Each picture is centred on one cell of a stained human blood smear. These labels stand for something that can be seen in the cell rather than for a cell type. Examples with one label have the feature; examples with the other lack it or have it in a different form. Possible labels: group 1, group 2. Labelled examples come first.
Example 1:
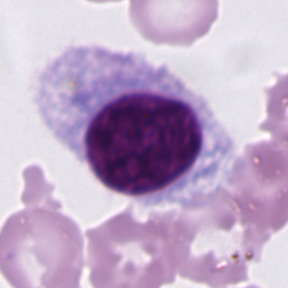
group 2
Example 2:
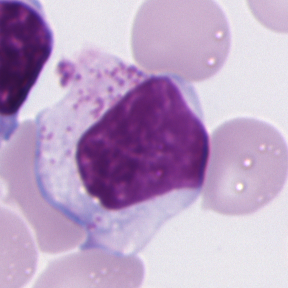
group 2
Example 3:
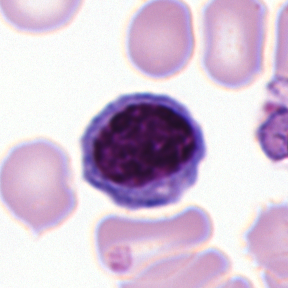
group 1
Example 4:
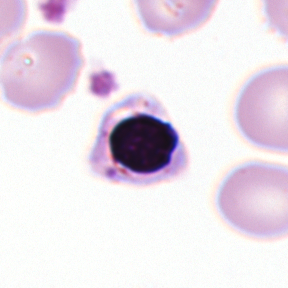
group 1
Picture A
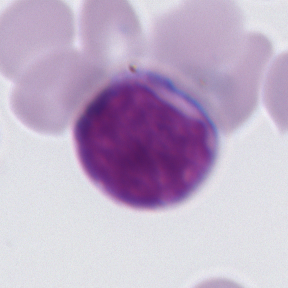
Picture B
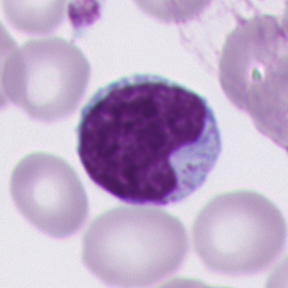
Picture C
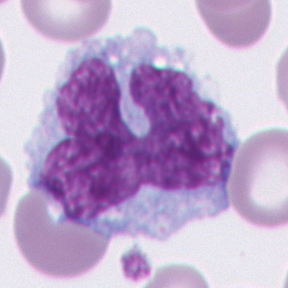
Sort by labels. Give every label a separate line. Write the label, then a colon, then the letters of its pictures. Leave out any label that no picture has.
group 1: A, B, C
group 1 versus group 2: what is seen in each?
group 1, scant cytoplasm; group 2, abundant cytoplasm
